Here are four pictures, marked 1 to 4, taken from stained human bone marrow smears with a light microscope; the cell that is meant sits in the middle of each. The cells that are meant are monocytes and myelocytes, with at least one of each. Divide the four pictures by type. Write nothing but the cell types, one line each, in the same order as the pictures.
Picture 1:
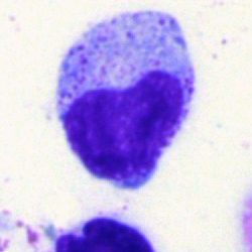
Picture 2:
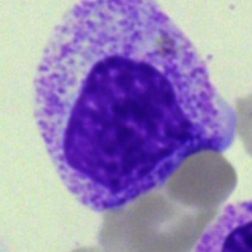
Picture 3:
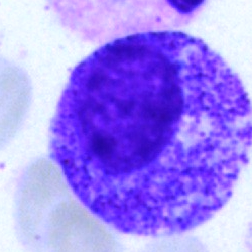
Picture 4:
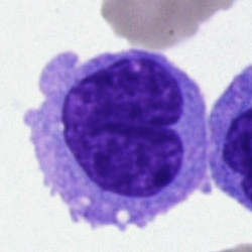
myelocyte
myelocyte
myelocyte
monocyte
